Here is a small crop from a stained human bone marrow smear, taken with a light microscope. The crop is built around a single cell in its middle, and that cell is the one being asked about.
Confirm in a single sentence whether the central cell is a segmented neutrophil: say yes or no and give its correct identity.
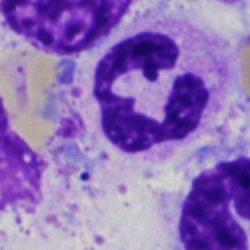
Yes, the cell in the centre is a segmented neutrophil.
